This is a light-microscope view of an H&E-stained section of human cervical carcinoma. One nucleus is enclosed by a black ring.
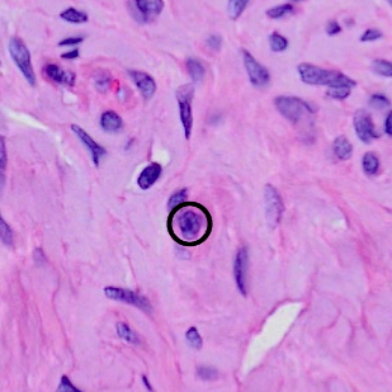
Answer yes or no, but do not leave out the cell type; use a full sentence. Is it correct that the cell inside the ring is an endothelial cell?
Yes, the cell inside the ring is recognized as an endothelial cell in this section.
